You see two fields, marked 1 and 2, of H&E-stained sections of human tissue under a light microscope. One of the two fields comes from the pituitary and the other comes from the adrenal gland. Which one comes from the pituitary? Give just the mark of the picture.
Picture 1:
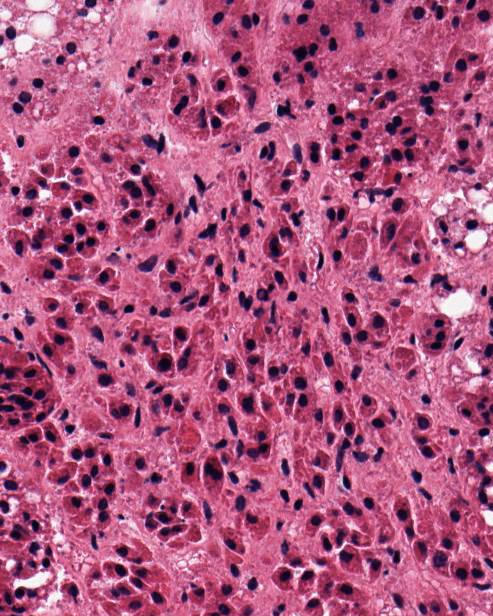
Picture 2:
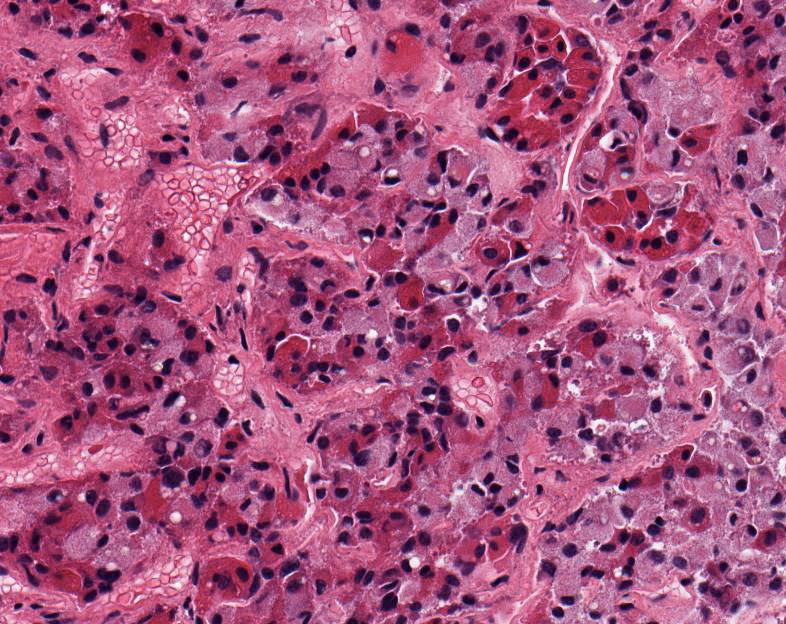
2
